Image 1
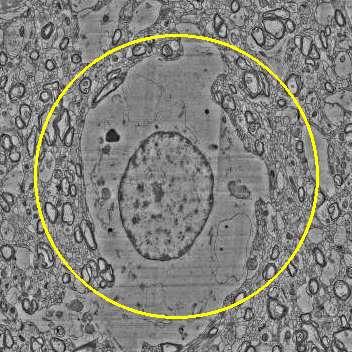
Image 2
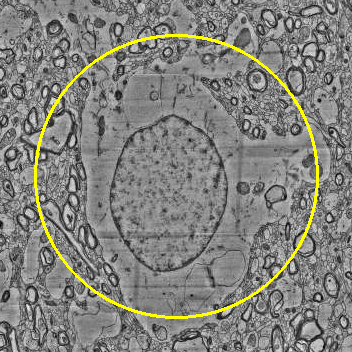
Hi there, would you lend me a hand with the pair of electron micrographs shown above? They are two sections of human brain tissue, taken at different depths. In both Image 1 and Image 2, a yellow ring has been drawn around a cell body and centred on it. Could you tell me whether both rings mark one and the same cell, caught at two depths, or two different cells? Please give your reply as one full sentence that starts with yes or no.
Yes, the same cell has been marked in both yellow rings.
